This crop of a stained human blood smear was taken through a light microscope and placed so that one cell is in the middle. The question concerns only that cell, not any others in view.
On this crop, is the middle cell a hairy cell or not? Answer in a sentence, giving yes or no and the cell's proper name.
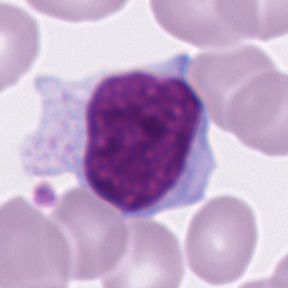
No, the central cell is counted as a large granular lymphocyte instead of a hairy cell.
